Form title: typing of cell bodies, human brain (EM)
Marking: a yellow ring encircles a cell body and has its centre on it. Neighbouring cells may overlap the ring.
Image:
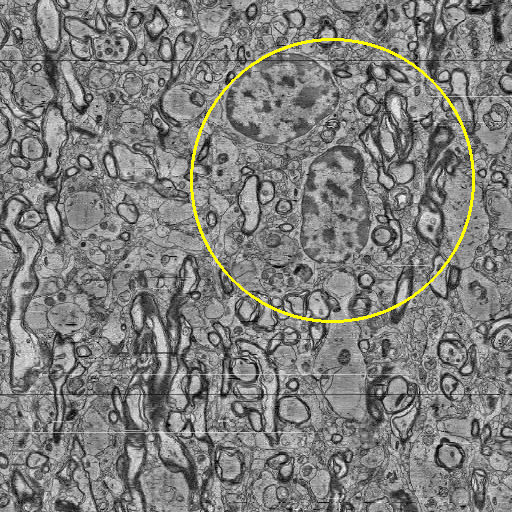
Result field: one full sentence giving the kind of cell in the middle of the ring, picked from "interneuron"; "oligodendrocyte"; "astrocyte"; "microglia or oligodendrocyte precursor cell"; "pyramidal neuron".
In the picture, the ring is centred on a microglial cell or oligodendrocyte precursor cell, whose cell body it encircles.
